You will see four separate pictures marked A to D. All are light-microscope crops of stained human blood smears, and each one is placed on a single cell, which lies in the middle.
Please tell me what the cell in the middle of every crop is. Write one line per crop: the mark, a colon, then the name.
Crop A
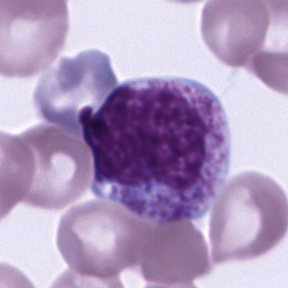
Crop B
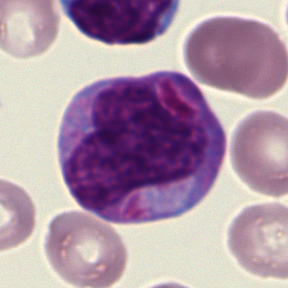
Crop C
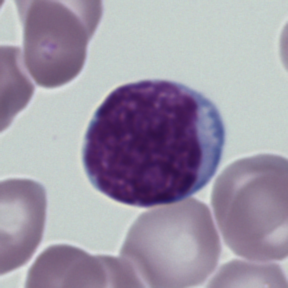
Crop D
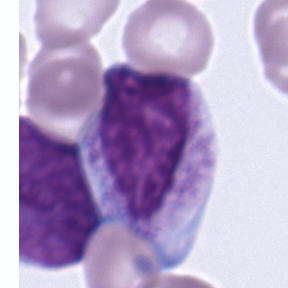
A: myelocyte
B: atypical promyelocyte
C: myeloblast
D: myelocyte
